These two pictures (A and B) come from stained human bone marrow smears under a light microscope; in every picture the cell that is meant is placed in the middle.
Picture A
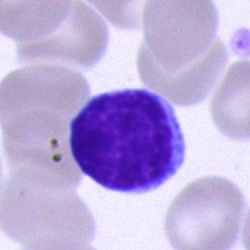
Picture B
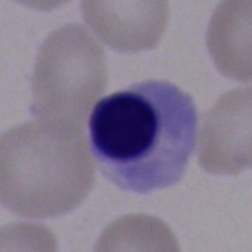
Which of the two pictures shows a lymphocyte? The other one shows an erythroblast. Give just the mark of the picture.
A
